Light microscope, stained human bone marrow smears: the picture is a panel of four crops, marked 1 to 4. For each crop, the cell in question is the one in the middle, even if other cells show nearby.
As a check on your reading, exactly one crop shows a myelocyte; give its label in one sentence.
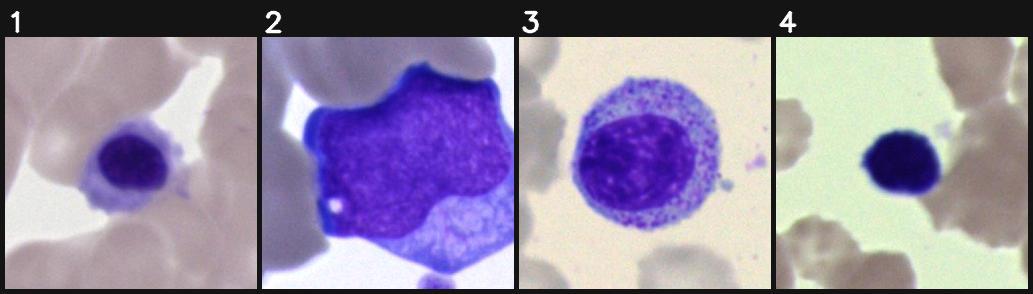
Identified crop: 3, the one that shows a myelocyte.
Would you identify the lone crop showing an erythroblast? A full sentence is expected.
Crop 1, and no other, shows an erythroblast.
